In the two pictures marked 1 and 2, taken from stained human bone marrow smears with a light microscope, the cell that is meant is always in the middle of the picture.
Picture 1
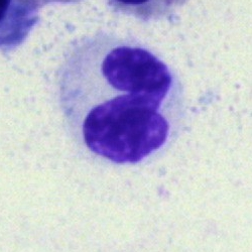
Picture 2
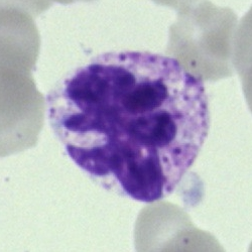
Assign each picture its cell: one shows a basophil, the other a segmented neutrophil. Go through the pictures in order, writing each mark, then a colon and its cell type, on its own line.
1: segmented neutrophil
2: basophil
